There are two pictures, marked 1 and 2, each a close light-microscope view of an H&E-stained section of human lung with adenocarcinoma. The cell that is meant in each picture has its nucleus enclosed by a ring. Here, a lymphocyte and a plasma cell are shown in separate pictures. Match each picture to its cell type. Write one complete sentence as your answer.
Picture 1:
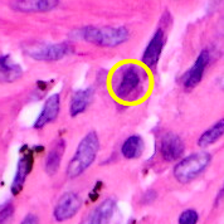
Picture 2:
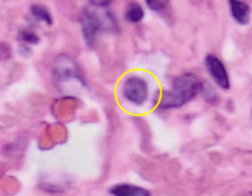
Picture 1 is of a plasma cell, and picture 2 is of a lymphocyte.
